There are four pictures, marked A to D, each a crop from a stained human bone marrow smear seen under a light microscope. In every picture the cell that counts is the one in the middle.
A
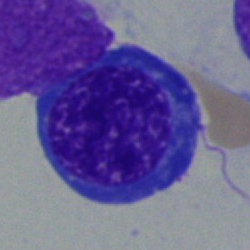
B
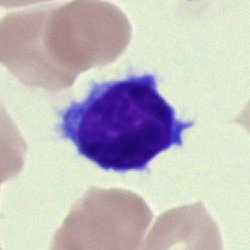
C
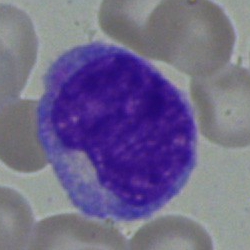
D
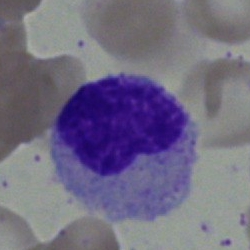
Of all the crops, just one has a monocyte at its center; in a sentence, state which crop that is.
When the crops are compared, crop C is the one showing a monocyte.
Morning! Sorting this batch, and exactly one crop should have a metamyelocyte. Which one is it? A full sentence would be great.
In this set, crop D is the one showing a metamyelocyte.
